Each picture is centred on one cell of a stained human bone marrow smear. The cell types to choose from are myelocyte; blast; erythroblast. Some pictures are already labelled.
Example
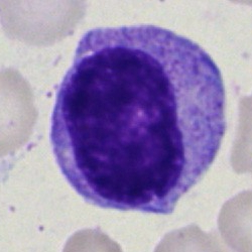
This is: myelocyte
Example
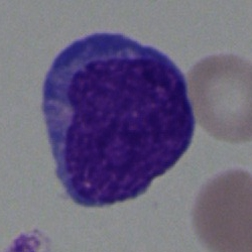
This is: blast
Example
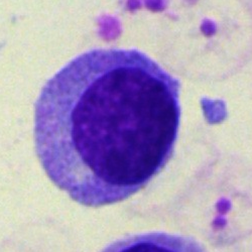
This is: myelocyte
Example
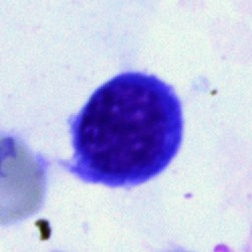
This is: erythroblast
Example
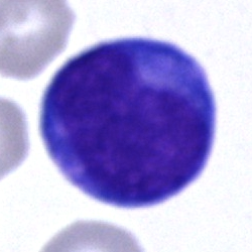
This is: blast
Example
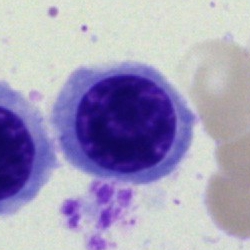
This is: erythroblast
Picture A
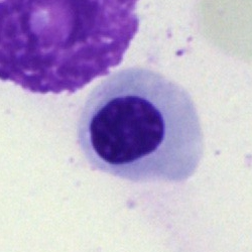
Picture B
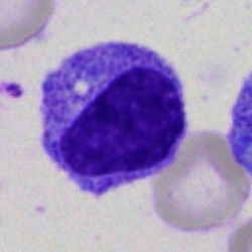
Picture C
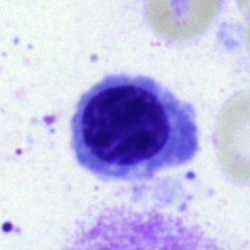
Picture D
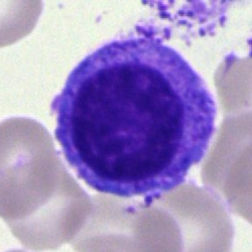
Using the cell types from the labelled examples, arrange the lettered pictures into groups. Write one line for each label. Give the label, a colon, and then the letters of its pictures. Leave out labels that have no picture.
myelocyte: B, D
erythroblast: A, C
